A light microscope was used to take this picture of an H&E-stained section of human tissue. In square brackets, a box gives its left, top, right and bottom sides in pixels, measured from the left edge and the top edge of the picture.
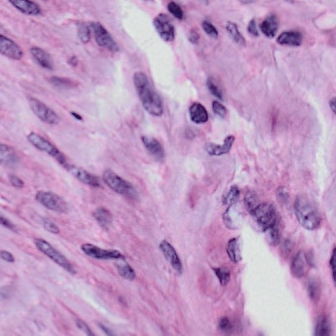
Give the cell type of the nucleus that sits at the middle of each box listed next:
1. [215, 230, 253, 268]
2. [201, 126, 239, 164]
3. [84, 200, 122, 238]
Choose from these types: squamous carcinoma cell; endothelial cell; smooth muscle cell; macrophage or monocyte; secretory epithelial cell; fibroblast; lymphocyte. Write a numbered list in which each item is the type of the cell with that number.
1. endothelial cell
2. macrophage or monocyte
3. smooth muscle cell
